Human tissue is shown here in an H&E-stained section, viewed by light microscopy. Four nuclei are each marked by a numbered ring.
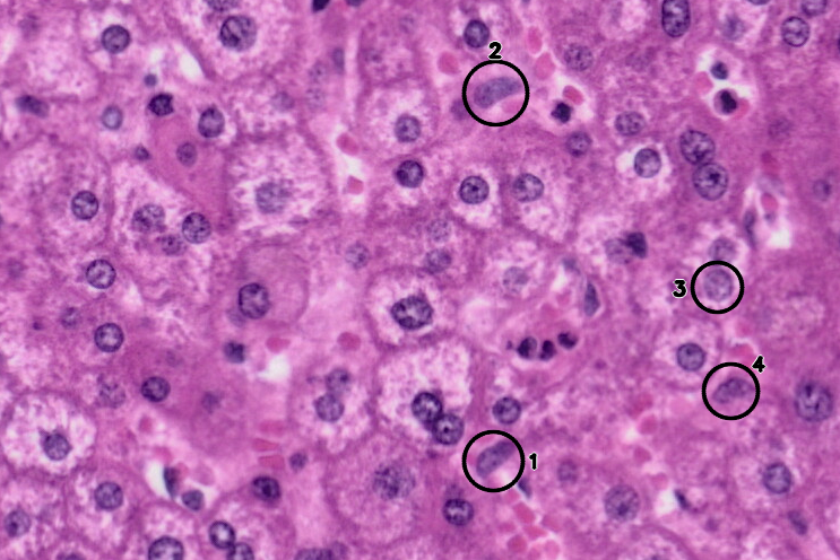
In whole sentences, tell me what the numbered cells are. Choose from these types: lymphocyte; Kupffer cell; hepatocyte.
Cell 1 is a Kupffer cell, cell 2 is a Kupffer cell, cell 3 is a hepatocyte and cell 4 is a Kupffer cell.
